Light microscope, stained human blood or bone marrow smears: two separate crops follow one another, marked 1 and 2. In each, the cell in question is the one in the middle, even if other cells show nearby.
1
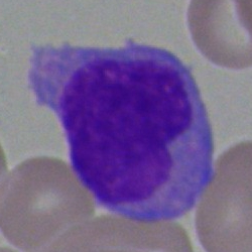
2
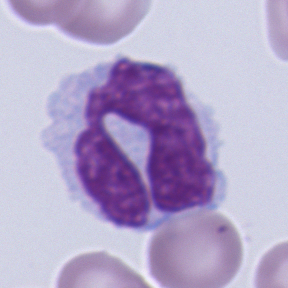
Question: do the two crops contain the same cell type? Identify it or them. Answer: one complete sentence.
Yes, the two central cells, one per crop, are monocytes.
